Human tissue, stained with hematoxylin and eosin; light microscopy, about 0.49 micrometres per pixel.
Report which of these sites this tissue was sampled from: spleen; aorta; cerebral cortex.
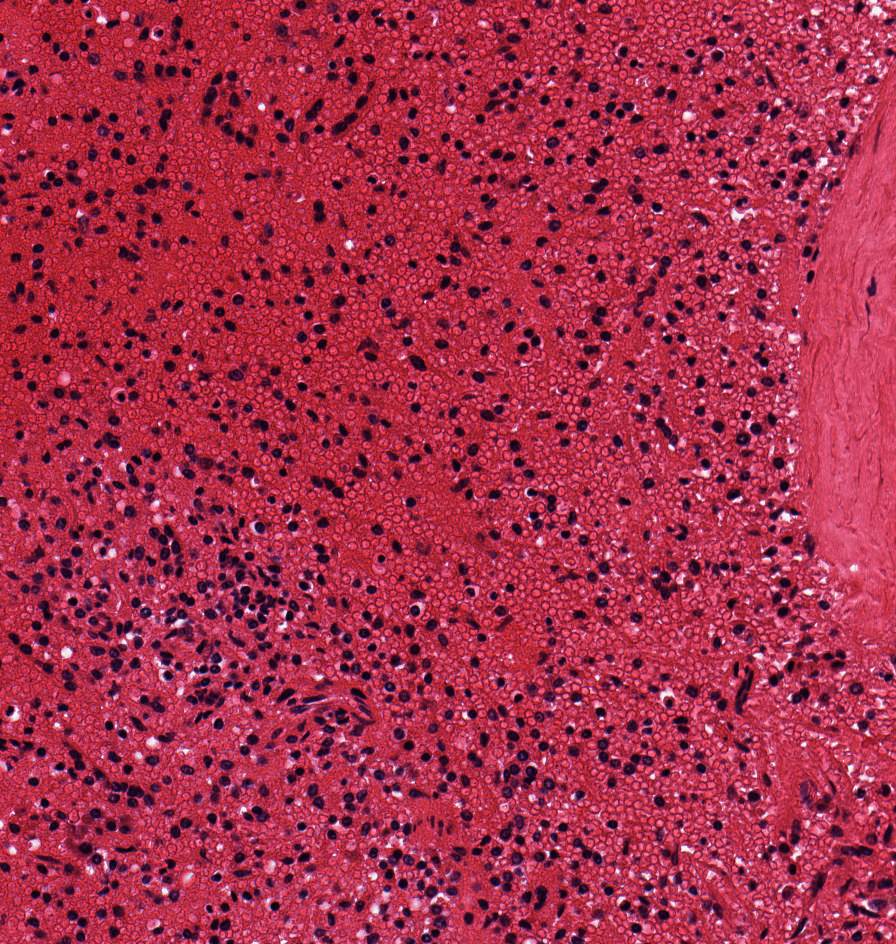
spleen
